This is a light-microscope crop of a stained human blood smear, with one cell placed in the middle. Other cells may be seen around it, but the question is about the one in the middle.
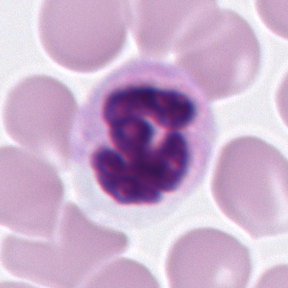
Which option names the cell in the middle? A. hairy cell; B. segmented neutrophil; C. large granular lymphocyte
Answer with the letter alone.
B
